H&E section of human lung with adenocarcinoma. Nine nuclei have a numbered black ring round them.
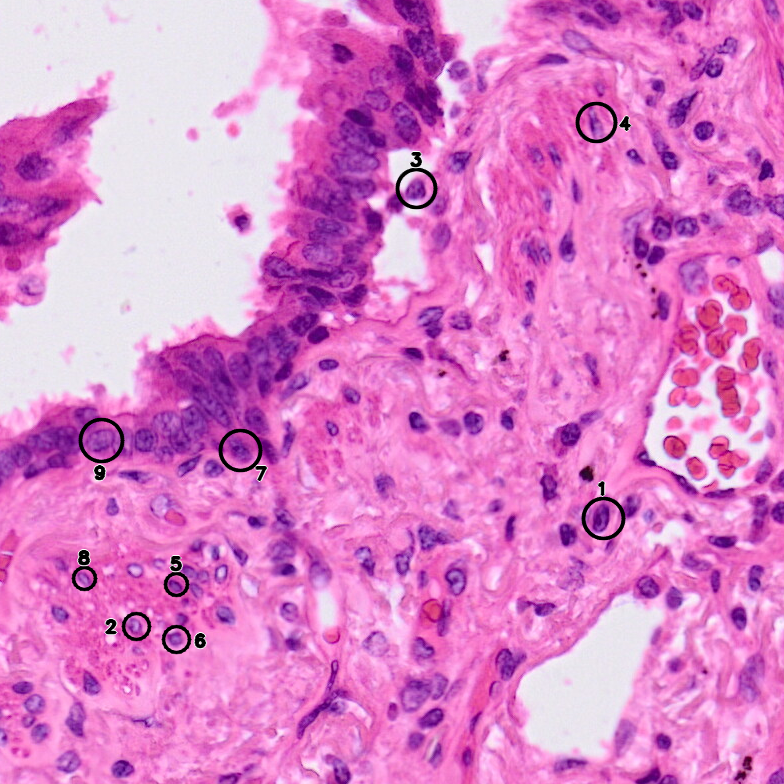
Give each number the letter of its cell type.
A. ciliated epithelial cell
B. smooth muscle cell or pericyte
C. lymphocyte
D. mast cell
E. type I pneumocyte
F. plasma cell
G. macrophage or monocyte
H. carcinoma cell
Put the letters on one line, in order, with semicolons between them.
F; B; C; B; B; B; A; B; A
